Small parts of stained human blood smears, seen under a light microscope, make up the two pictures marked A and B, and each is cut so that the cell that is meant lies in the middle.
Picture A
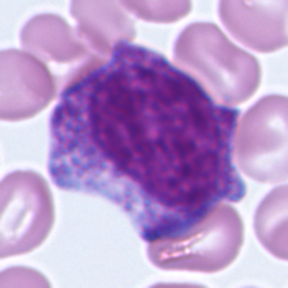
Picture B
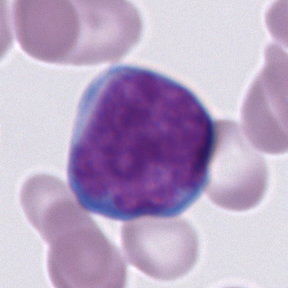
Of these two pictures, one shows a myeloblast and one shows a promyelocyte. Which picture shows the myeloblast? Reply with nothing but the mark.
B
